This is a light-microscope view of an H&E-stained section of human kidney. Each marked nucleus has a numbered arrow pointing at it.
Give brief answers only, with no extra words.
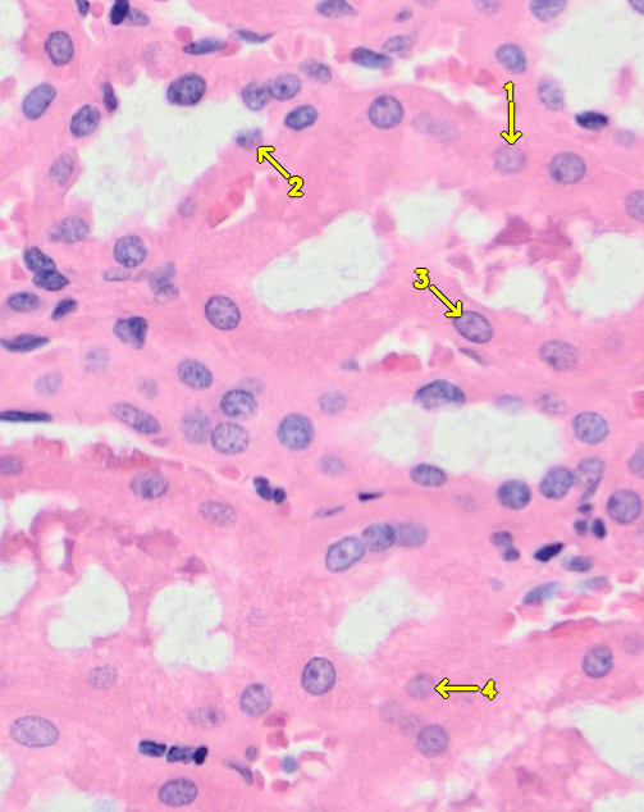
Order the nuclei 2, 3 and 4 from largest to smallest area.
3, 4, 2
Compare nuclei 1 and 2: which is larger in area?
1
